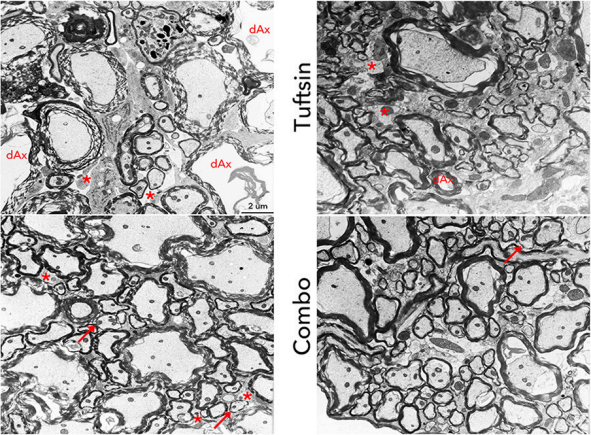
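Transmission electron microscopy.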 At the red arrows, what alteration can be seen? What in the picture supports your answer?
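The arrows point to axon profiles surrounded by a thin dark ring. Neighbouring axons have thicker dark rings.
Conclusion: thin myelin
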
